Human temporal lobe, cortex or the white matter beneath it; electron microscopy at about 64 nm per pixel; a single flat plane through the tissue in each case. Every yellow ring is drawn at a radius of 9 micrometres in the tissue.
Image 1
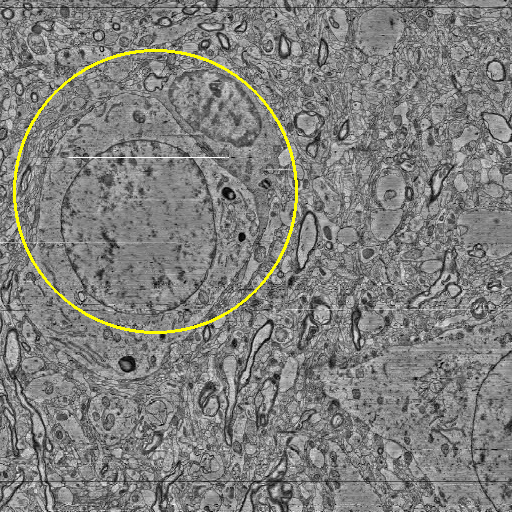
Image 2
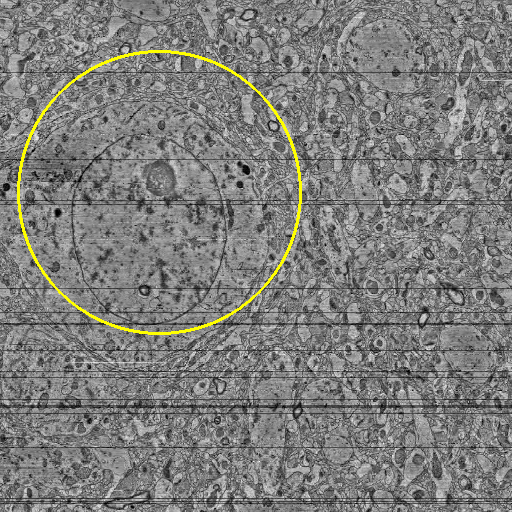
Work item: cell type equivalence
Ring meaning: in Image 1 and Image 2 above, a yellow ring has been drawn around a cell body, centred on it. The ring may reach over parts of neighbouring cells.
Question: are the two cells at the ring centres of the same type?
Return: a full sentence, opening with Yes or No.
Yes, the two centred cells are of the same type.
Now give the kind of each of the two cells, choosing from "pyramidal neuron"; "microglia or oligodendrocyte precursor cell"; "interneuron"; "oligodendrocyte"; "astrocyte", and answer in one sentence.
Each one of the two ringed cells is a pyramidal neuron.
